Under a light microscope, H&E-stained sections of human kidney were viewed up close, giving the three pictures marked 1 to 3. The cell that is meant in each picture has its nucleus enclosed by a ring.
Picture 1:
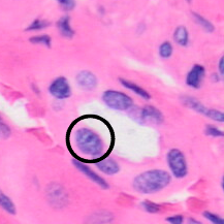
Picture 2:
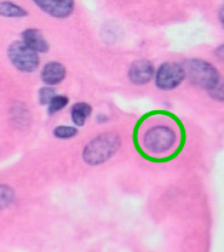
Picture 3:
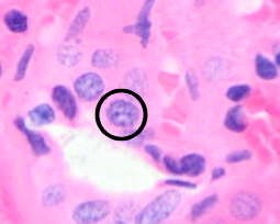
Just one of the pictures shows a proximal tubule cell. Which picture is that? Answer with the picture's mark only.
2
